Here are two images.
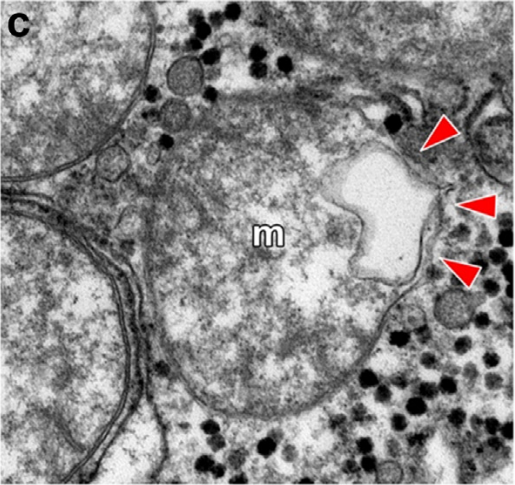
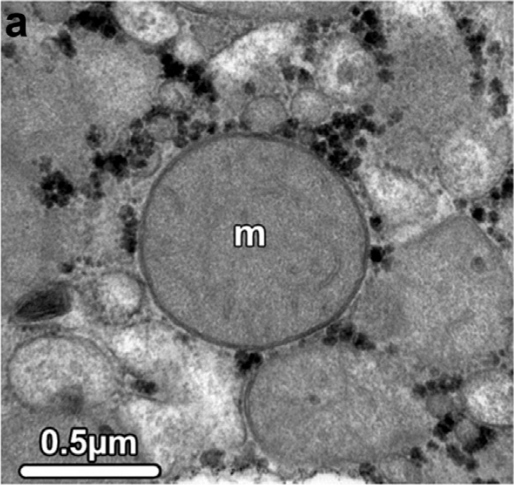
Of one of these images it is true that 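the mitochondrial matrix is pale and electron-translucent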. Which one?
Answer: The first image.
